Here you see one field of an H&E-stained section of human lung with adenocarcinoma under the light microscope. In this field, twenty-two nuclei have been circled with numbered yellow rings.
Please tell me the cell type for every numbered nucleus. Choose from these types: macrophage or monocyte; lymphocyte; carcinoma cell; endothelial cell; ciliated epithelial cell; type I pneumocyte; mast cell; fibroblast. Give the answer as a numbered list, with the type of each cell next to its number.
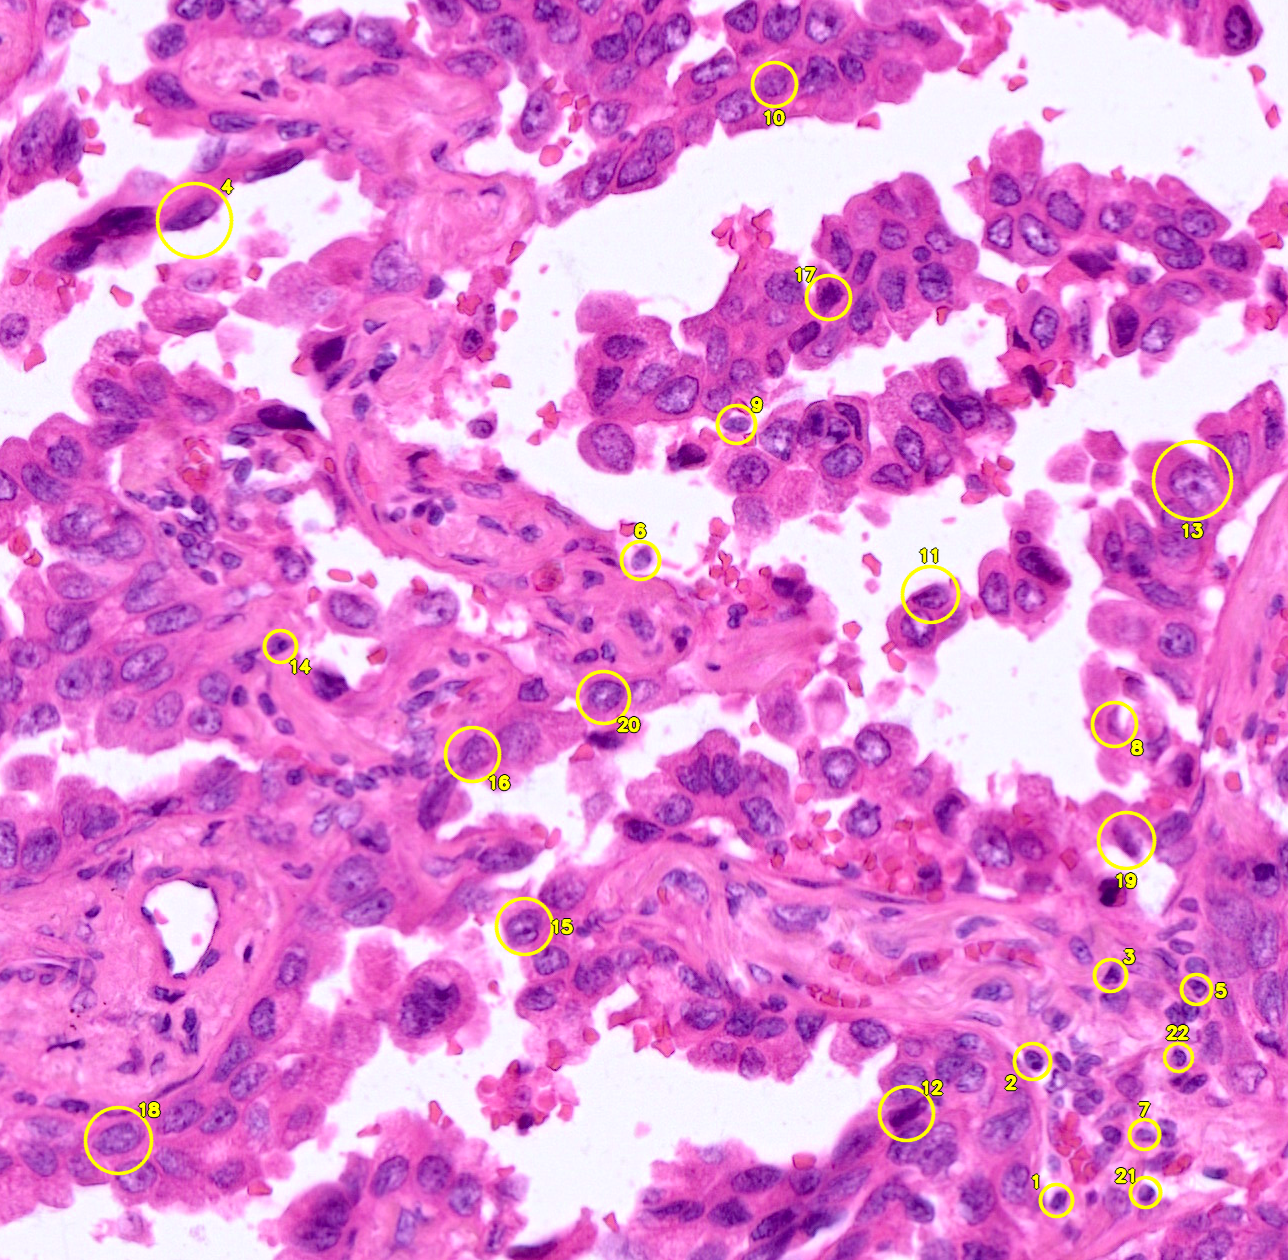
1. lymphocyte
2. lymphocyte
3. lymphocyte
4. carcinoma cell
5. lymphocyte
6. lymphocyte
7. lymphocyte
8. carcinoma cell
9. lymphocyte
10. carcinoma cell
11. carcinoma cell
12. carcinoma cell
13. carcinoma cell
14. lymphocyte
15. carcinoma cell
16. carcinoma cell
17. carcinoma cell
18. carcinoma cell
19. carcinoma cell
20. carcinoma cell
21. lymphocyte
22. lymphocyte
